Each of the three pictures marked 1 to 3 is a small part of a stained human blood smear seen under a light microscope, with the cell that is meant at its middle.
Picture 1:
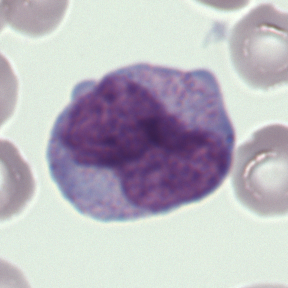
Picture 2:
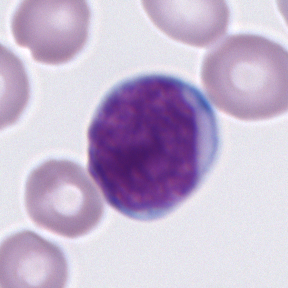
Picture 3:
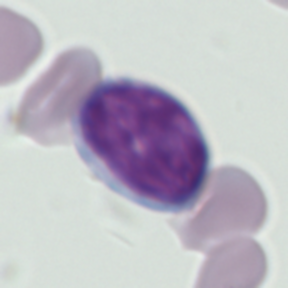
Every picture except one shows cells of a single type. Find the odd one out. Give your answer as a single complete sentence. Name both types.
Unlike the rest, which show myeloblasts, picture 1 shows an atypical promyelocyte.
